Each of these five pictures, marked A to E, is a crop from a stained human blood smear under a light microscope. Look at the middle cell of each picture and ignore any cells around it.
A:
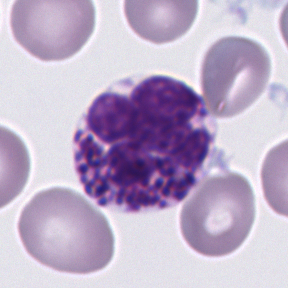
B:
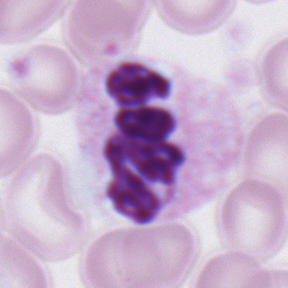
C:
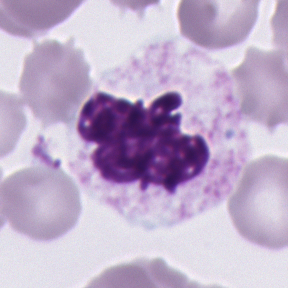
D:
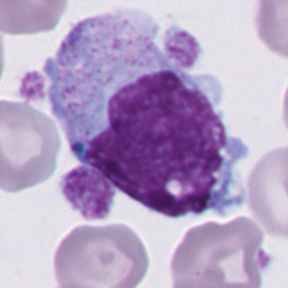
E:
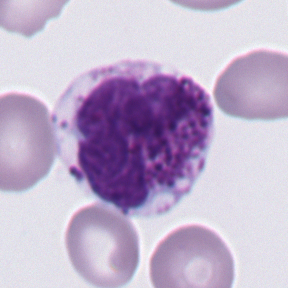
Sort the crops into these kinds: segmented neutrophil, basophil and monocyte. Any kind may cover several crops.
A: basophil
B: segmented neutrophil
C: segmented neutrophil
D: monocyte
E: basophil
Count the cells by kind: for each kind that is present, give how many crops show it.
basophil: 2
segmented neutrophil: 2
monocyte: 1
